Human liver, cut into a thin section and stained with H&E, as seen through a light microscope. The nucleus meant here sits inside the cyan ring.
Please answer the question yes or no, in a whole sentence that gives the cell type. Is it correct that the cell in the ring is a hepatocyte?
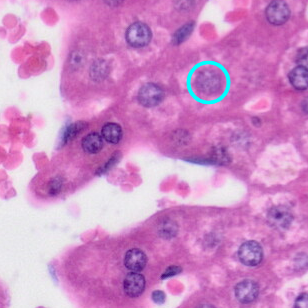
Yes, with respect to cell type, the cell in the ring is a hepatocyte.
